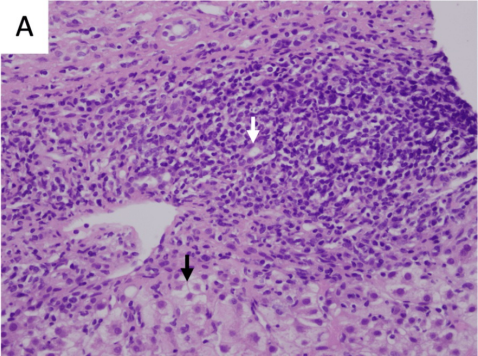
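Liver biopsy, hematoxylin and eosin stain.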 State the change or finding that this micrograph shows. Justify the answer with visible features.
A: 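A dense sheet of small cells with round, dark purple nuclei and scant cytoplasm fills the upper middle of the field. The dense cell sheet lies around a vessel lumen and abuts larger pink hepatocytes below.
Hence: lymphoplasmacytic infiltrates.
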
